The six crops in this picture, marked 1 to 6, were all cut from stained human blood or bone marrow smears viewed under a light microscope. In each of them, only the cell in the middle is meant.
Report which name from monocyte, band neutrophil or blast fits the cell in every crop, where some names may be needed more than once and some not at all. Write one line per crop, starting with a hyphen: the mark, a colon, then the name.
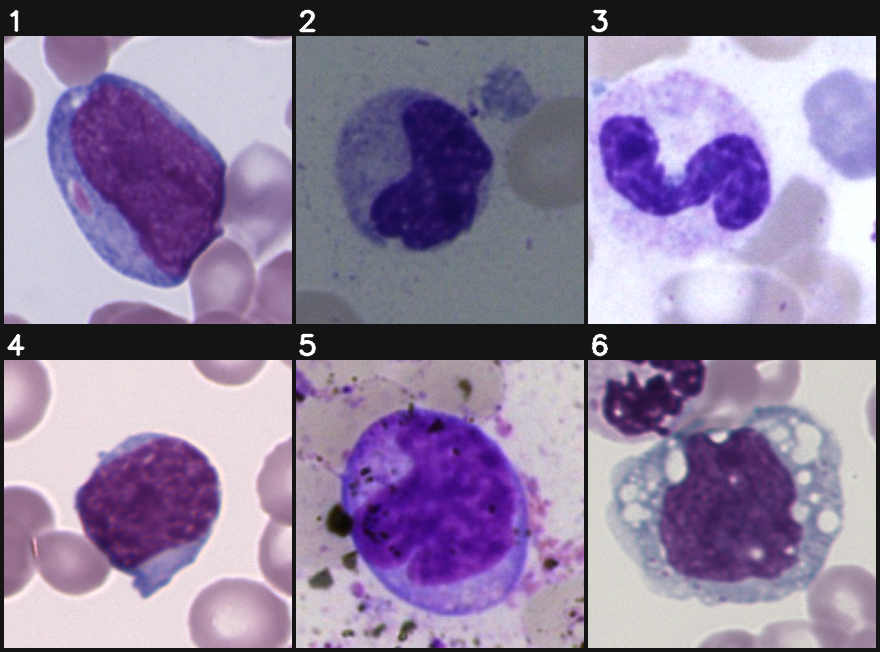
- 1: blast
- 2: band neutrophil
- 3: band neutrophil
- 4: blast
- 5: monocyte
- 6: monocyte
